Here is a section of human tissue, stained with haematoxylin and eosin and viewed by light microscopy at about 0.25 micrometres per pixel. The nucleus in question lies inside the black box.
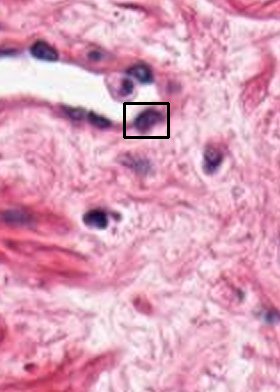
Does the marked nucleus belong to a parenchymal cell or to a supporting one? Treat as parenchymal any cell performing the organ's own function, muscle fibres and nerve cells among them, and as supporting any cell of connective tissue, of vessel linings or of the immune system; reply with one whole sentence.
The marked nucleus sits within a supporting cell.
